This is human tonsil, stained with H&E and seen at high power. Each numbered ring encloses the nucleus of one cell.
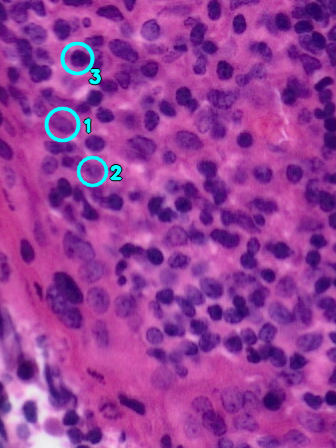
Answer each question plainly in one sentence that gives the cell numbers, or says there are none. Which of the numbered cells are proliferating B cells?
As regards the numbered cells, proliferating B cells are not represented.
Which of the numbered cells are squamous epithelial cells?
Classified as squamous epithelial cells are the cells numbered 1 and 2.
